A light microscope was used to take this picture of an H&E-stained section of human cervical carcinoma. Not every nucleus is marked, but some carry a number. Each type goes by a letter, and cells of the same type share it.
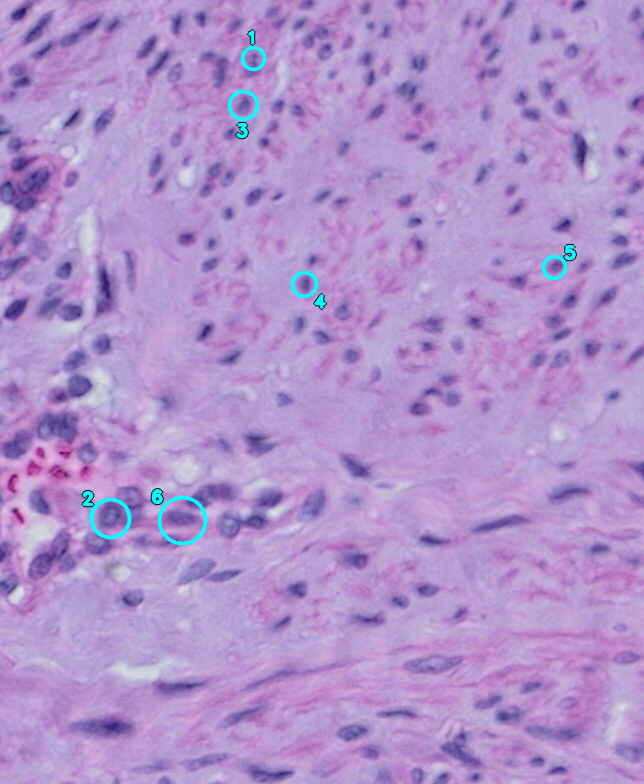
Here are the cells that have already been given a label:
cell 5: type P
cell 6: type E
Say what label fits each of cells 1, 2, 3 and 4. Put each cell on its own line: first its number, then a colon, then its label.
1: type P
2: type E
3: type P
4: type P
